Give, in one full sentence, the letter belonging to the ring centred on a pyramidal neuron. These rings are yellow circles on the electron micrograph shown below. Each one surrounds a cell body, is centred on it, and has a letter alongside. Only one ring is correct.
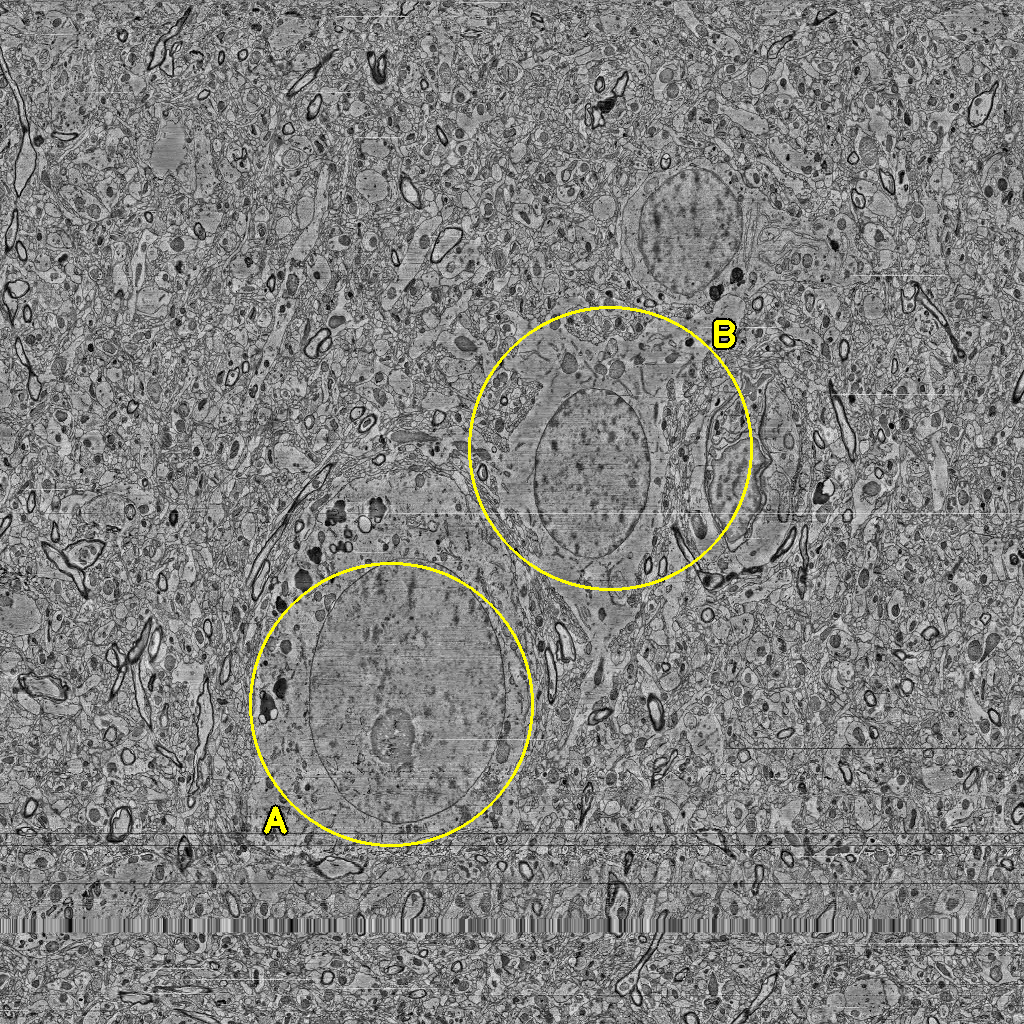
My answer is A, the ring centred on the cell asked for.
